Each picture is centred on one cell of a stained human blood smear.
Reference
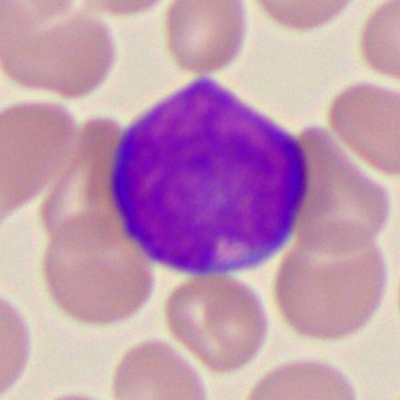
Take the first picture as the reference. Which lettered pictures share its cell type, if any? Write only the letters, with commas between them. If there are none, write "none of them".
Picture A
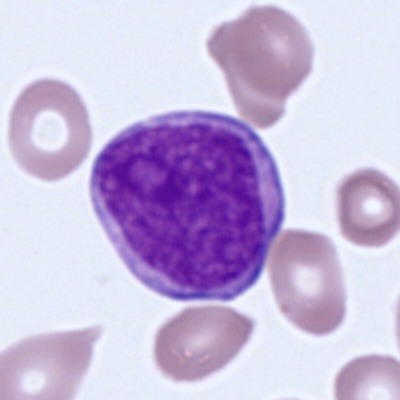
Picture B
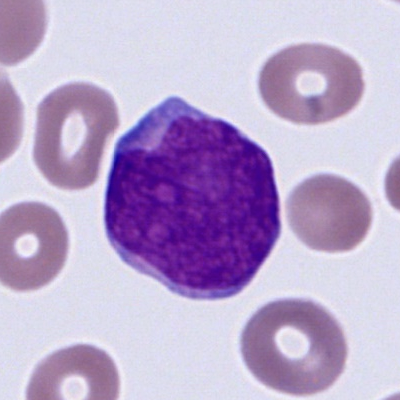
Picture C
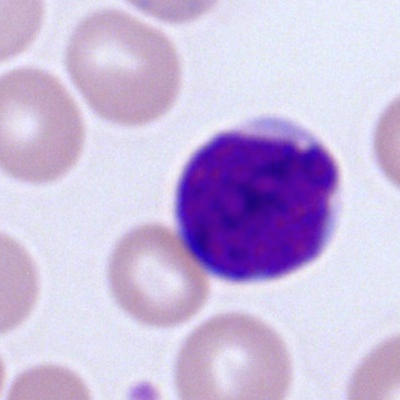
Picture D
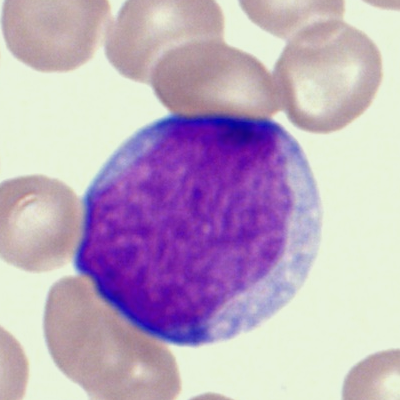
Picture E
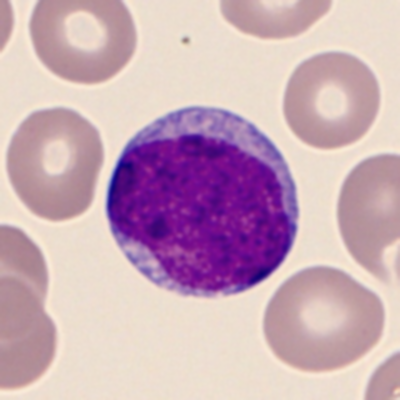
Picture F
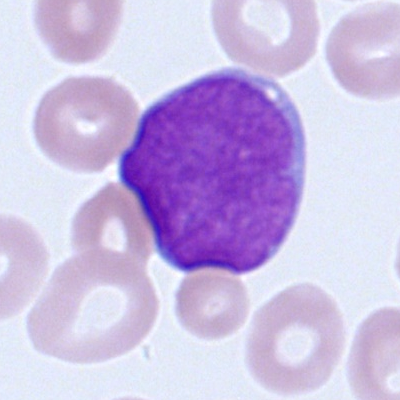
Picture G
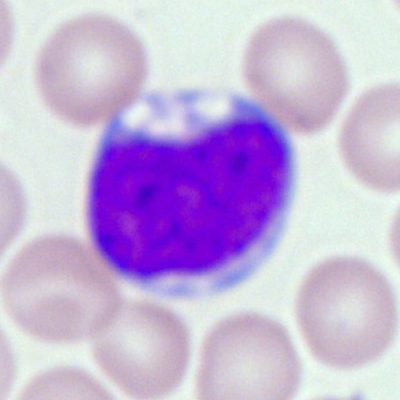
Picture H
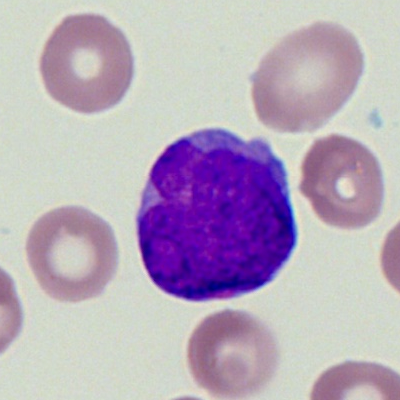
A, B, C, D, E, F, G, H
